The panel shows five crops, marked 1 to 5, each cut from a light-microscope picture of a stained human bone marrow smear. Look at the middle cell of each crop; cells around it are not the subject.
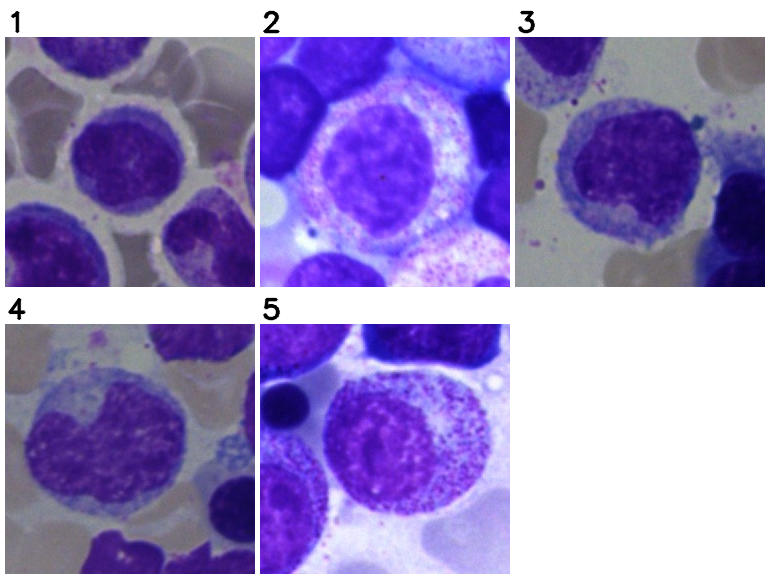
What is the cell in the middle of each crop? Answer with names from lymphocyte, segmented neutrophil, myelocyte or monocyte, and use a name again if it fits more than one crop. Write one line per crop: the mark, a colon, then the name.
1: monocyte
2: myelocyte
3: monocyte
4: monocyte
5: myelocyte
